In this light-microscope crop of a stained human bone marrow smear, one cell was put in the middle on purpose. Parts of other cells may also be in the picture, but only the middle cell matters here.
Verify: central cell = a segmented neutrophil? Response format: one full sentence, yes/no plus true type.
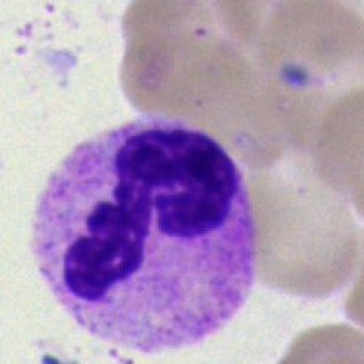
Yes, what sits in the centre of the crop is a segmented neutrophil.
